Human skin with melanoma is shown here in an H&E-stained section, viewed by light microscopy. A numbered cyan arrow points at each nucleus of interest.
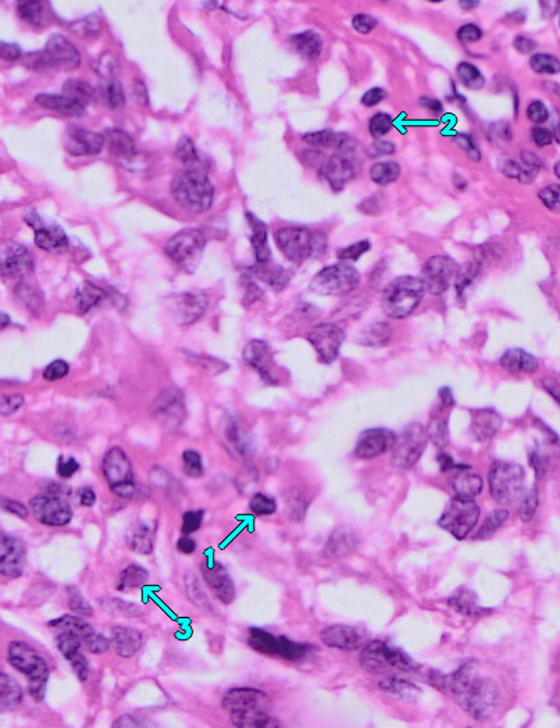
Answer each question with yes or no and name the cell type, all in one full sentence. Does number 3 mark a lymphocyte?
No, the cell given the number 3 is a melanoma cell, so not a lymphocyte.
